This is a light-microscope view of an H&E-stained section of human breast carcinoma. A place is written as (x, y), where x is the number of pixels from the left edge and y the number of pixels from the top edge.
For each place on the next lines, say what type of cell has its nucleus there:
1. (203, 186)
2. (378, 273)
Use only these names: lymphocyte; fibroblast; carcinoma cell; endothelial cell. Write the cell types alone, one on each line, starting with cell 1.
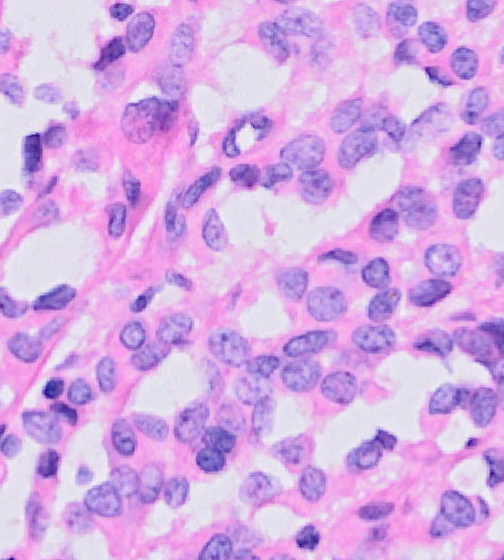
endothelial cell
carcinoma cell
